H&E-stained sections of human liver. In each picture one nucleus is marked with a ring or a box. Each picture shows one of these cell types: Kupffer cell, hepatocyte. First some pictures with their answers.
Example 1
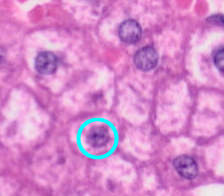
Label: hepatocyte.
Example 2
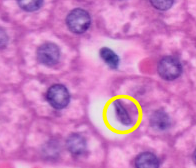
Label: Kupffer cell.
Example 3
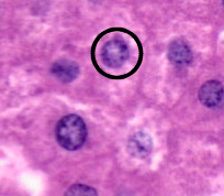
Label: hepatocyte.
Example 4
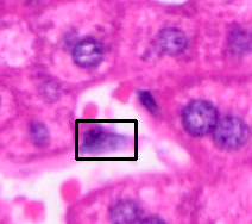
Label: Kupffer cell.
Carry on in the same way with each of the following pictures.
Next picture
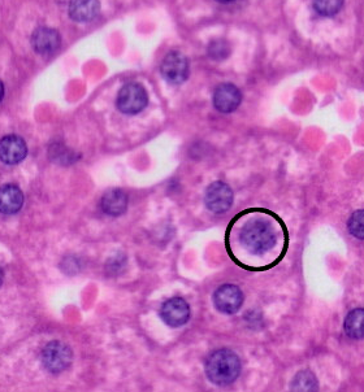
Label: hepatocyte.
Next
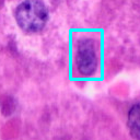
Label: Kupffer cell.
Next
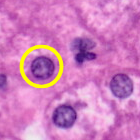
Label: hepatocyte.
